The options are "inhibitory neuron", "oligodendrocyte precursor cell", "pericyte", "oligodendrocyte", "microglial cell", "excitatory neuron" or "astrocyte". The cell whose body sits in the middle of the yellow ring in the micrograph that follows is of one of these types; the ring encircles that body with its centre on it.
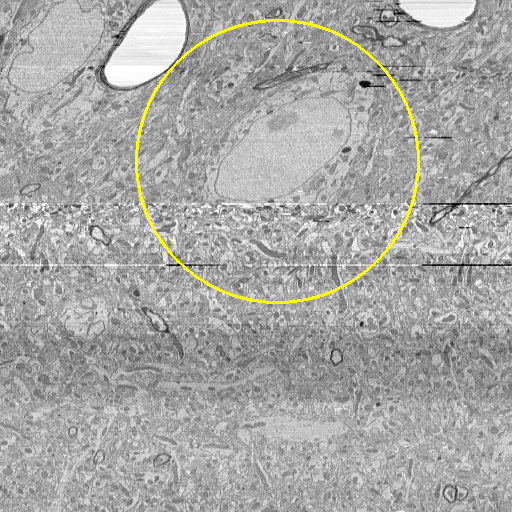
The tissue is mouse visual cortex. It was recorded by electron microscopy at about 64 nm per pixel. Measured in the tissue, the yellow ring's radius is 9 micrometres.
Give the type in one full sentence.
Going by the micrograph, the cell centred in the yellow ring is an excitatory neuron.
